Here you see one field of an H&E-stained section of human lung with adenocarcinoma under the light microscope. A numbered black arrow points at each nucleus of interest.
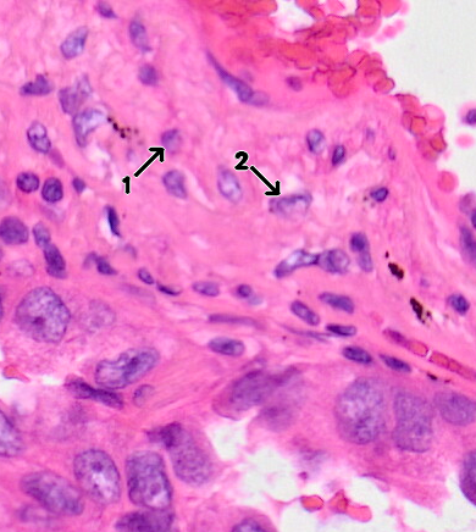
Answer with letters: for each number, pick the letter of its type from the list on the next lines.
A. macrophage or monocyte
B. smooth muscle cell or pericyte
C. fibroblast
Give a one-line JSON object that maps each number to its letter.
{"1": "B", "2": "C"}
